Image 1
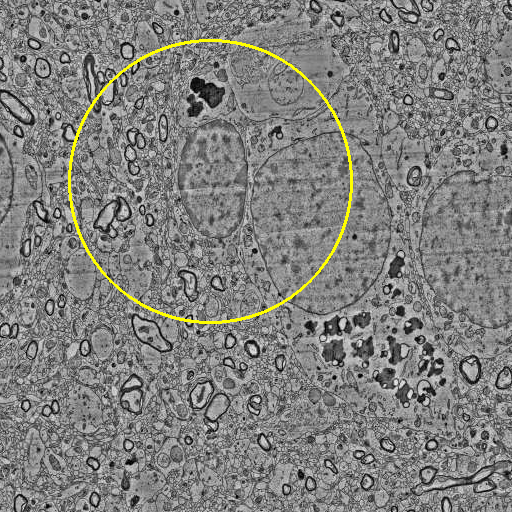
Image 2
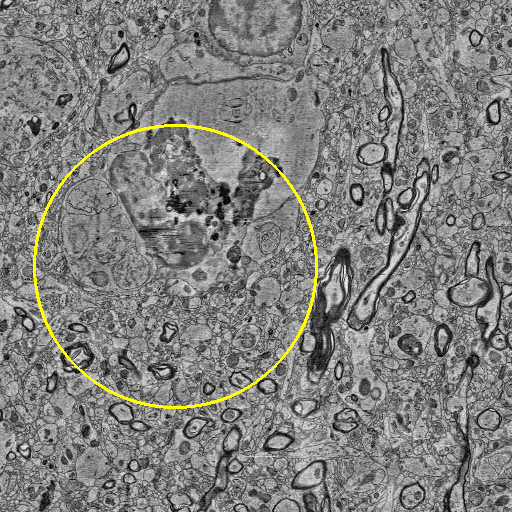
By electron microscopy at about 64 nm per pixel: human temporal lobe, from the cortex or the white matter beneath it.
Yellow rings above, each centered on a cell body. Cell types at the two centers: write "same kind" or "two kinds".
same kind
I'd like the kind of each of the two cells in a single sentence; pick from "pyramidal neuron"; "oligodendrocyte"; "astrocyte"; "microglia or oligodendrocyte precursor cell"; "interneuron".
Both pictures show an oligodendrocyte at the centre of the ring.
